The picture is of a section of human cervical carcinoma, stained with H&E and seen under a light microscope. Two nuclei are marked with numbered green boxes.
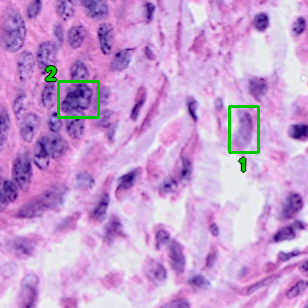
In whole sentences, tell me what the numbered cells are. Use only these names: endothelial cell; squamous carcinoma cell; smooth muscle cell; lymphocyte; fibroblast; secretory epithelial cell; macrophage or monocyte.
Cell 1 is a fibroblast. Cell 2 is a squamous carcinoma cell.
